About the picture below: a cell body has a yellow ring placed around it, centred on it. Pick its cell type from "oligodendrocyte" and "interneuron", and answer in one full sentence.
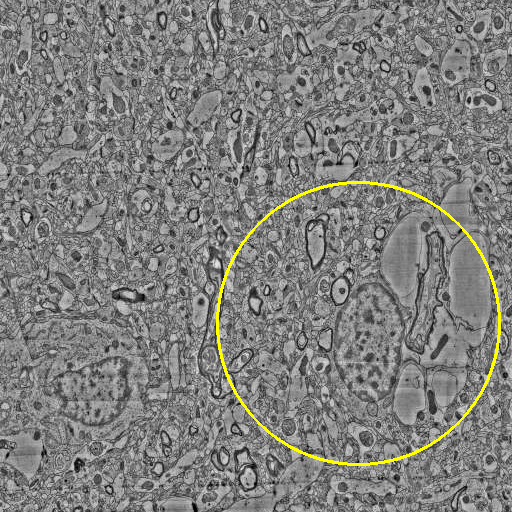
In the picture, an oligodendrocyte is the cell sitting at the centre of the yellow ring.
